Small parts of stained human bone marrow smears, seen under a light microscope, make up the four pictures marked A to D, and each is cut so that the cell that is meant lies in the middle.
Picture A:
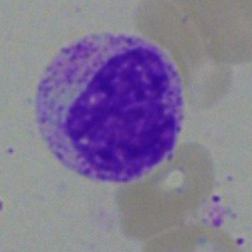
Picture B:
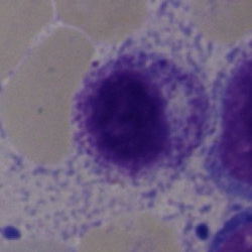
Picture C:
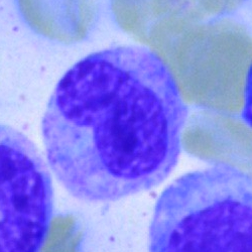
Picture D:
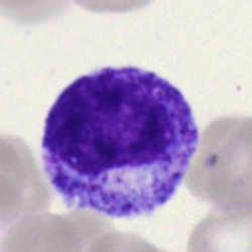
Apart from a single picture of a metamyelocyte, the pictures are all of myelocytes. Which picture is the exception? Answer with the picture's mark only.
C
